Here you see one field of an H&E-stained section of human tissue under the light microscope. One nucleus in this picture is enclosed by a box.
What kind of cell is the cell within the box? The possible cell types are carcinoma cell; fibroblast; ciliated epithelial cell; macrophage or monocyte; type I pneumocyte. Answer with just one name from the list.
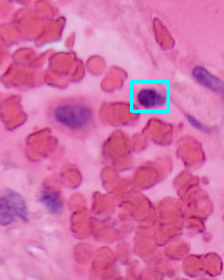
type I pneumocyte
